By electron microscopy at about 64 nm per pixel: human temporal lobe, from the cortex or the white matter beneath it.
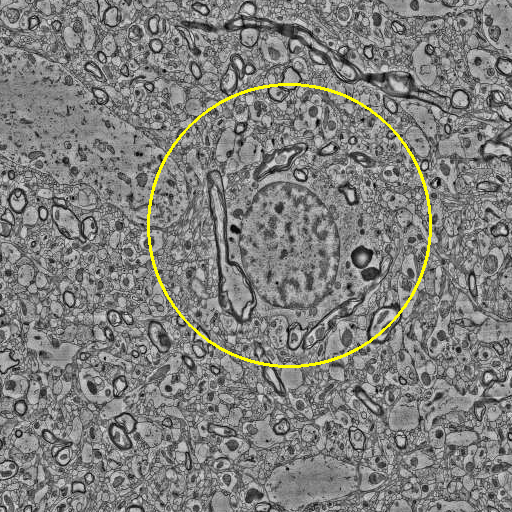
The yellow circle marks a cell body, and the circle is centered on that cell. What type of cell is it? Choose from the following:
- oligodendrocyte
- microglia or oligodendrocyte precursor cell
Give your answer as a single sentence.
This cell body belongs to an oligodendrocyte.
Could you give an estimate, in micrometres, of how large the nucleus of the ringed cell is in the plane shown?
The nucleus of the ringed cell is approximately 8 by 7 micrometres in this plane.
